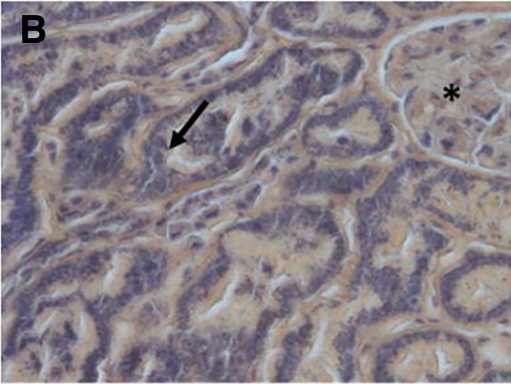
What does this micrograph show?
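This is kidney cortex in which the epithelium of the proximal tubules is stained deep blue-purple, its cytoplasm crowded with dense dark grains around the tubular lumina. A paler glomerular tuft lies at the upper right, standing out against the darkly stained tubules.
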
